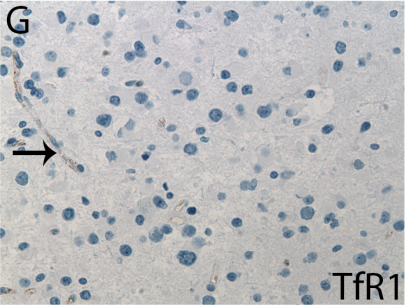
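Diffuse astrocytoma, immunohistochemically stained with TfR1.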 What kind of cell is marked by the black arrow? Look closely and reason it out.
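The arrow points to thin, elongated cells lining a narrow vessel. The faint brown stain follows the vessel wall.
Hence: endothelium.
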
